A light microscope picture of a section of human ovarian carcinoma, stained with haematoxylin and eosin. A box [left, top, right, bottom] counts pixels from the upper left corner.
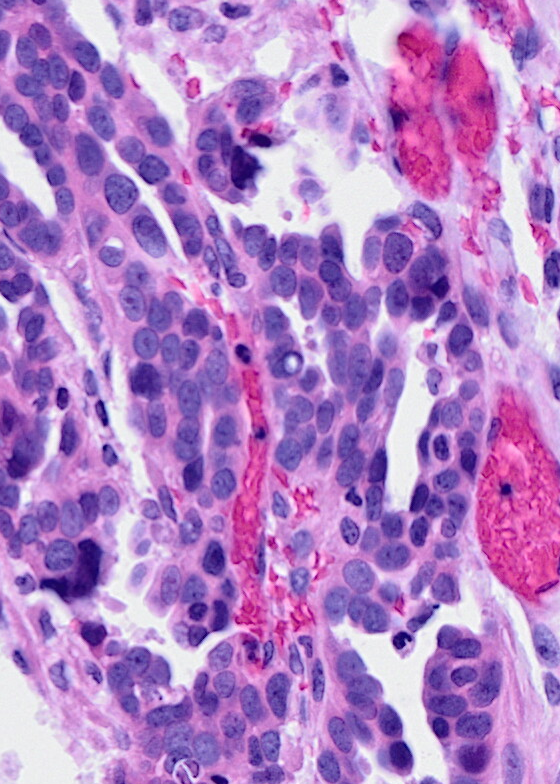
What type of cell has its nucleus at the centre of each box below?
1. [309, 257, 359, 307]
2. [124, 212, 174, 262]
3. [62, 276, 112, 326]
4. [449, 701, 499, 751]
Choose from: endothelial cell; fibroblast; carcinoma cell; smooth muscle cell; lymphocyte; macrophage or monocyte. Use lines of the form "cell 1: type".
cell 1: carcinoma cell
cell 2: carcinoma cell
cell 3: fibroblast
cell 4: carcinoma cell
